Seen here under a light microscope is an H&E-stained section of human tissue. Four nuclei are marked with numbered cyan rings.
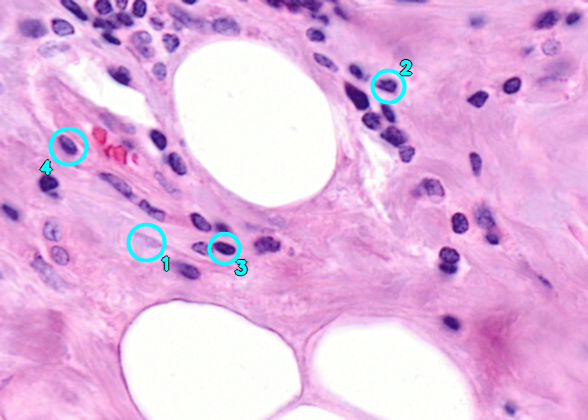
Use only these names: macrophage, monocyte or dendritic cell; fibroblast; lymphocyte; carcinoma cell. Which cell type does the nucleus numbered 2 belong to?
lymphocyte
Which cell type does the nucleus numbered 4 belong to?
lymphocyte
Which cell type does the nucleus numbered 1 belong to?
fibroblast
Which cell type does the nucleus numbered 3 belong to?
lymphocyte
